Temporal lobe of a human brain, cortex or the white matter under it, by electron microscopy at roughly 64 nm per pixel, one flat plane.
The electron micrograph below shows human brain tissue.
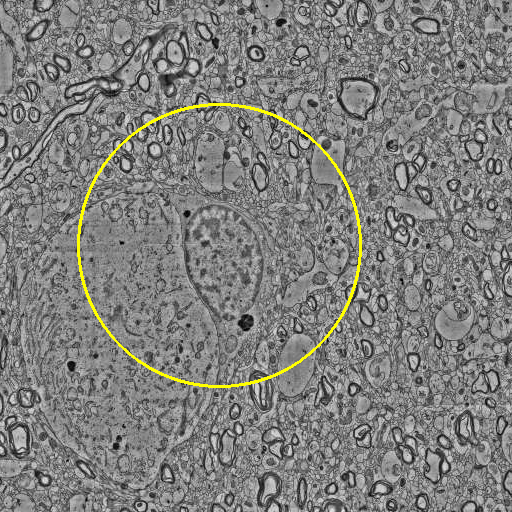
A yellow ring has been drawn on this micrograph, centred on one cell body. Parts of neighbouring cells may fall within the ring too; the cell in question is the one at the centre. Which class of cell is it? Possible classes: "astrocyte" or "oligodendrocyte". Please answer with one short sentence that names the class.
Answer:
In the centre of the ring sits an oligodendrocyte.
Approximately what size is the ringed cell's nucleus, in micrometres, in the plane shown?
The ringed cell's nucleus is roughly 7 by 5 micrometres and clearly longer than it is wide in this plane.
